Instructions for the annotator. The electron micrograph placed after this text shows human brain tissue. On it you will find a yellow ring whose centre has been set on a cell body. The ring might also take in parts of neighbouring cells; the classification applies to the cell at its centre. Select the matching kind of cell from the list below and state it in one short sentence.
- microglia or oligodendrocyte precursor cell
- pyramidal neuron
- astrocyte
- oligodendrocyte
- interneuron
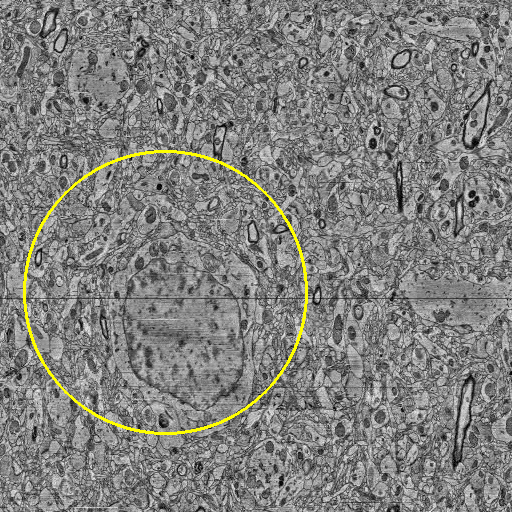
The ring is drawn on the cell body of an interneuron.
